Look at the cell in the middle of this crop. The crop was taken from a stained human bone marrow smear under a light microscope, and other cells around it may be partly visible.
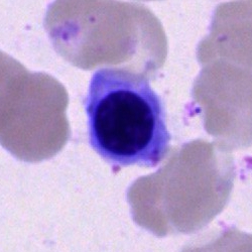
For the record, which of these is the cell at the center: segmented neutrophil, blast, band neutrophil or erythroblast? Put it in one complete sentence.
Present in the middle of the crop is an erythroblast.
